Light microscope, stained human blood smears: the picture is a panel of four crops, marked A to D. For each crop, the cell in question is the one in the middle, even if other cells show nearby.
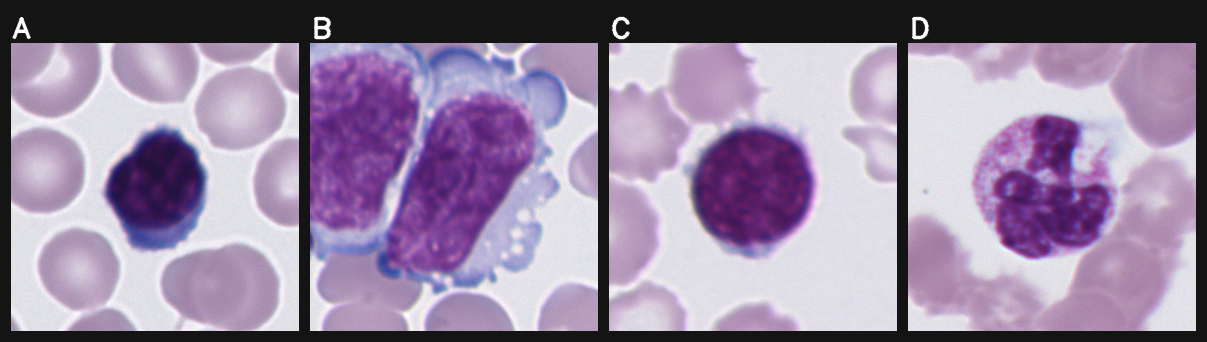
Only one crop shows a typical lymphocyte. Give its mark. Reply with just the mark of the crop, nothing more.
A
